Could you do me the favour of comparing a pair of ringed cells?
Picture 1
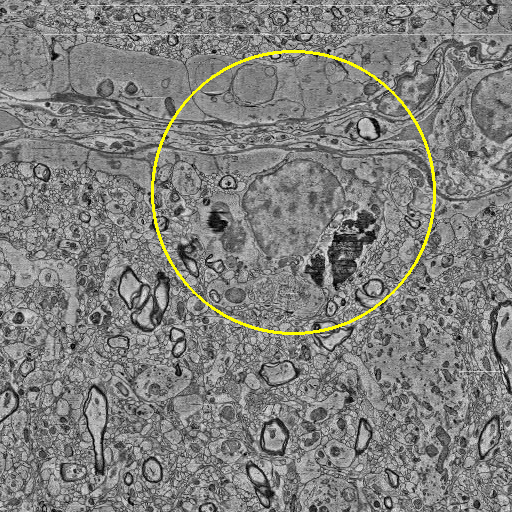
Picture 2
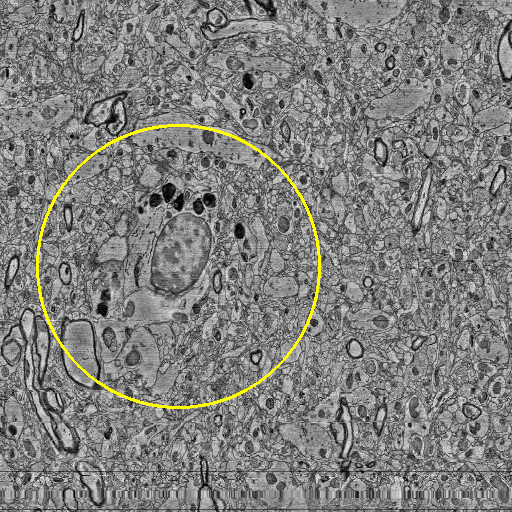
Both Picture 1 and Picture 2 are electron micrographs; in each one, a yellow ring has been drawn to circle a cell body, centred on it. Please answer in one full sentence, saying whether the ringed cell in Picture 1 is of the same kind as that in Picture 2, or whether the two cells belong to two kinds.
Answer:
The ringed cells in Picture 1 and Picture 2 belong to two kinds.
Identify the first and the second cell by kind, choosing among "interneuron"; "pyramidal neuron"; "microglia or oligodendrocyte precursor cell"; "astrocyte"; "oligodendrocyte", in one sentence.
The one in the first picture is an oligodendrocyte, while the one in the second is a microglial cell or oligodendrocyte precursor cell.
